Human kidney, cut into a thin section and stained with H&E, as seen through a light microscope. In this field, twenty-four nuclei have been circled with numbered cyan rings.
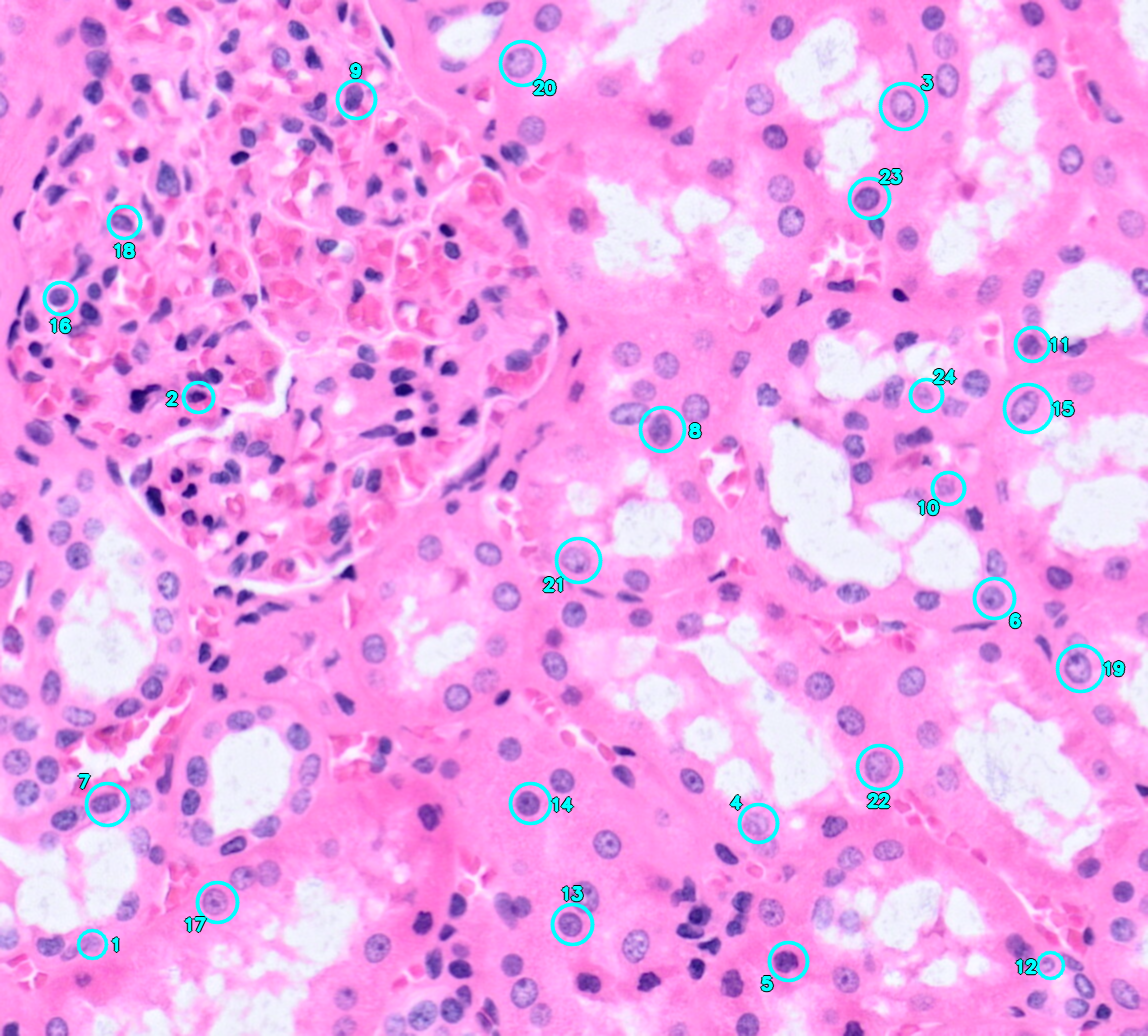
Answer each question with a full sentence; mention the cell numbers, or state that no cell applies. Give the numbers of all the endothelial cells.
In this section, the cells labelled 2, 9, 16 and 18 are endothelial cells.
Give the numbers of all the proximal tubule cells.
As for the cells numbered 3, 4, 5, 8, 13, 14, 15, 17, 19, 20, 21, 22 and 23, they are proximal tubule cells.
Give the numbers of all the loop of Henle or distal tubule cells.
The cells marked 6, 10, 11 and 24 in the section are loop of Henle or distal tubule cells.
